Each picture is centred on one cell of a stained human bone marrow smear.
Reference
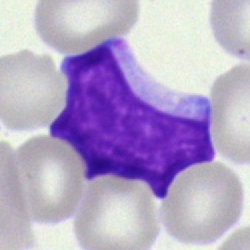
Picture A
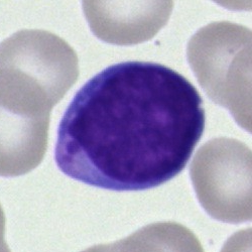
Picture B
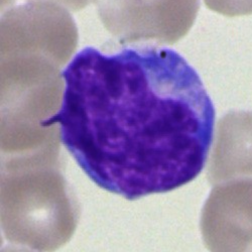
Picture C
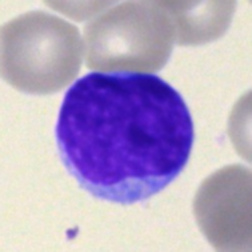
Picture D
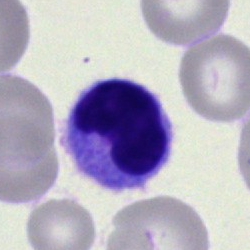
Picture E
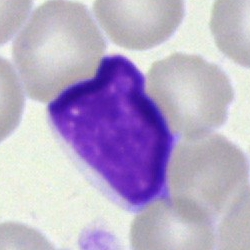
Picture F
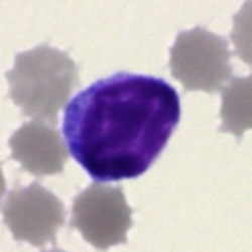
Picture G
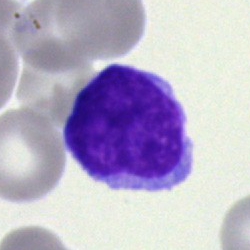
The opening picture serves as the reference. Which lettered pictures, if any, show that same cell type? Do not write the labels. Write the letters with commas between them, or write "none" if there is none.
B, C, E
